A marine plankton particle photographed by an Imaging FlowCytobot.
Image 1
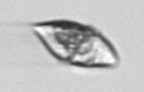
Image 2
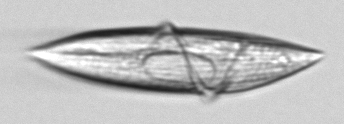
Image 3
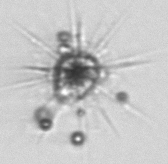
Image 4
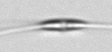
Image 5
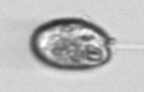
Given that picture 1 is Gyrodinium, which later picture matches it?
2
